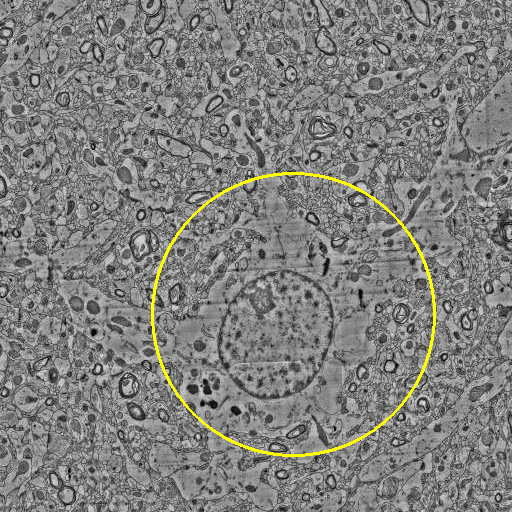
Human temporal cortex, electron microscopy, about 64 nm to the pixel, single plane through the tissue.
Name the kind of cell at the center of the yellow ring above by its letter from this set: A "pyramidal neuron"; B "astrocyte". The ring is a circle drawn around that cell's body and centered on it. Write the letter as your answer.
B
